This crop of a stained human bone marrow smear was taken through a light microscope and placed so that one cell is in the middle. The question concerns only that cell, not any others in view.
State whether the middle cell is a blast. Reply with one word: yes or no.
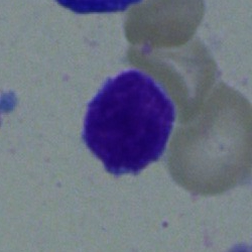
yes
